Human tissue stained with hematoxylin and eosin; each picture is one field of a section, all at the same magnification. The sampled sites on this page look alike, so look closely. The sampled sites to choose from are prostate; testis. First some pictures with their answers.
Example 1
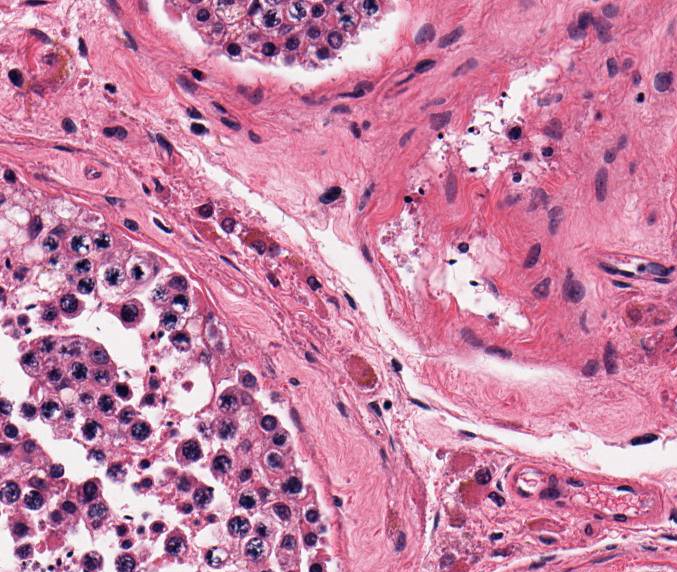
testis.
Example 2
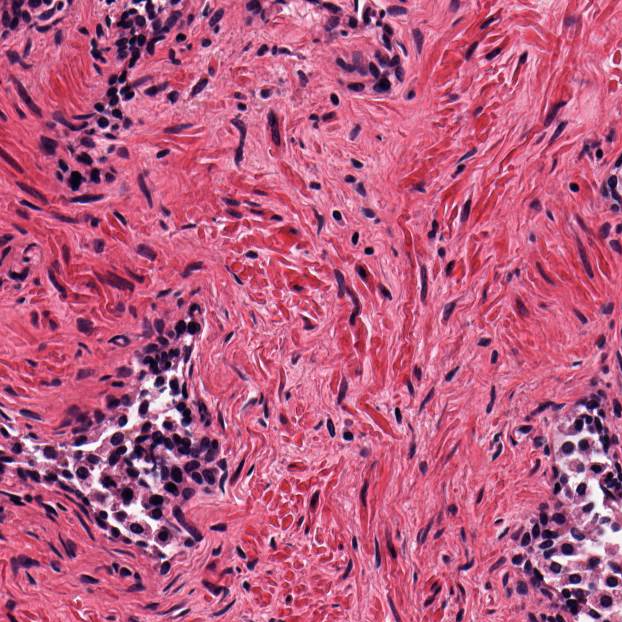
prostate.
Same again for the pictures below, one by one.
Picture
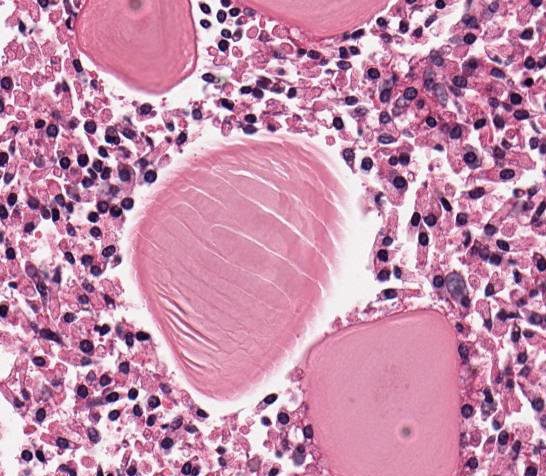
prostate.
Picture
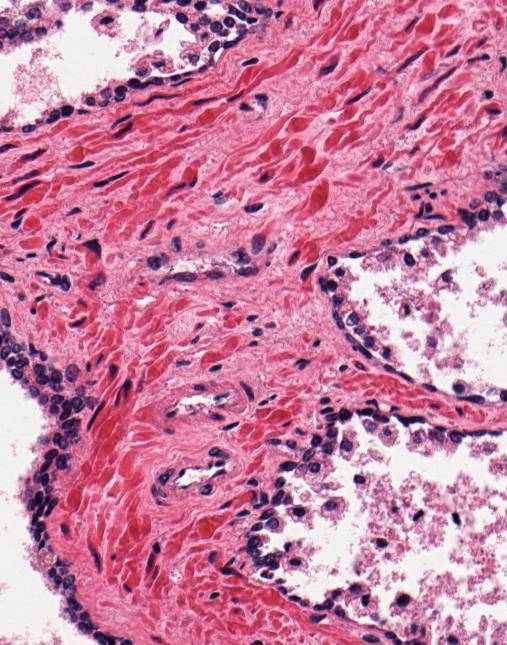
prostate.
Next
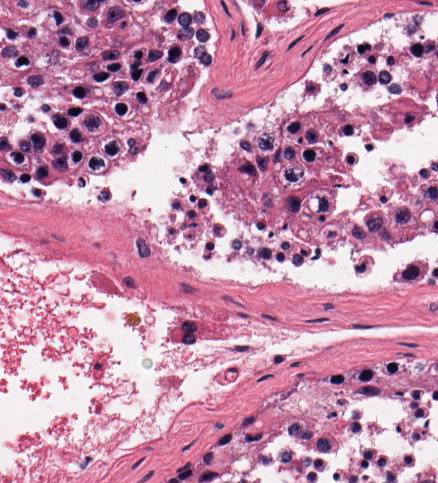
testis.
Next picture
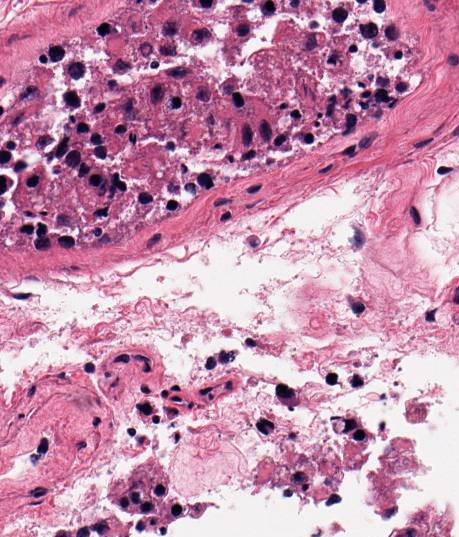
testis.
